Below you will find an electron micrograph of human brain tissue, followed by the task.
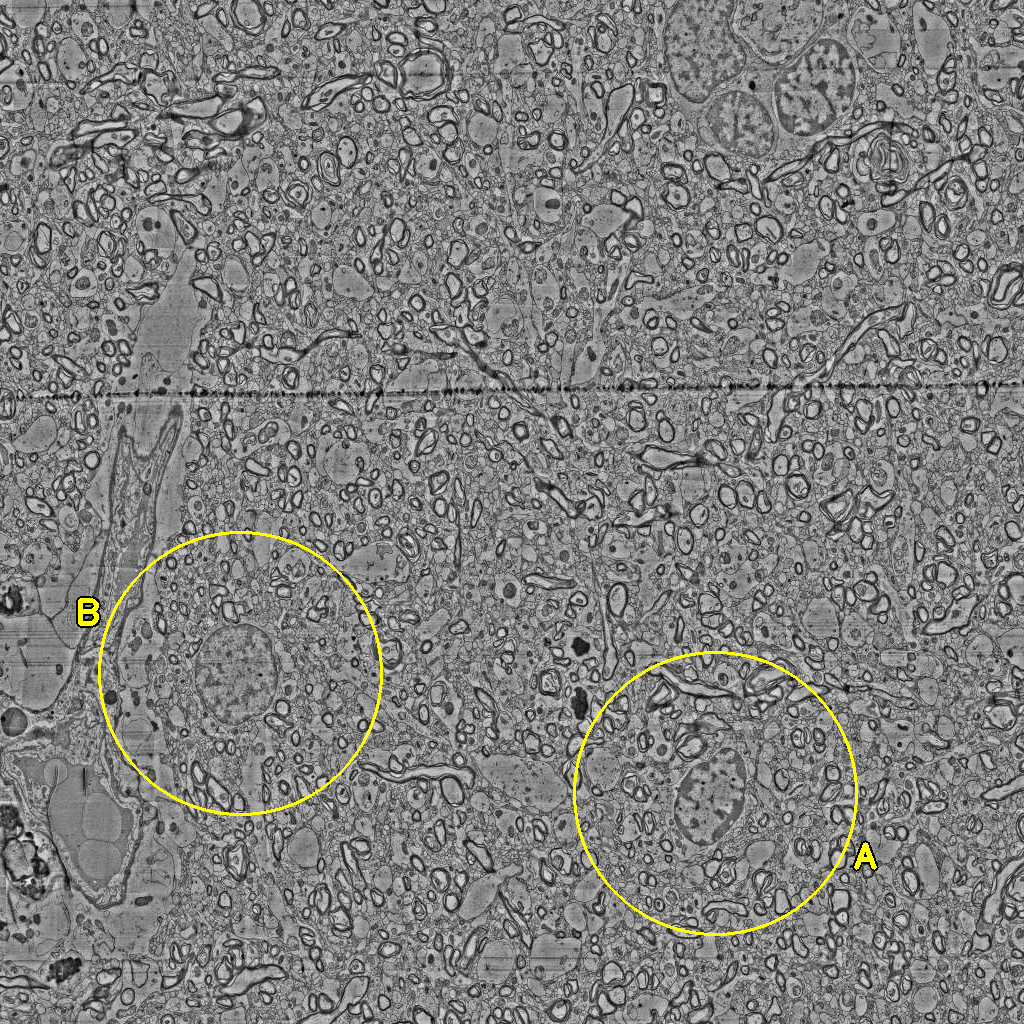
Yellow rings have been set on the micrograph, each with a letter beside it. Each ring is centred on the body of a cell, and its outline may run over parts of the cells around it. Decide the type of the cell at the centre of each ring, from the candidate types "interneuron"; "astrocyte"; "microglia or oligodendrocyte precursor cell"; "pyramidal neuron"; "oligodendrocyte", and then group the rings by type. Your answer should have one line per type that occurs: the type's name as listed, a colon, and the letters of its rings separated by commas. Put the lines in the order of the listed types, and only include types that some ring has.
microglia or oligodendrocyte precursor cell: A
oligodendrocyte: B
